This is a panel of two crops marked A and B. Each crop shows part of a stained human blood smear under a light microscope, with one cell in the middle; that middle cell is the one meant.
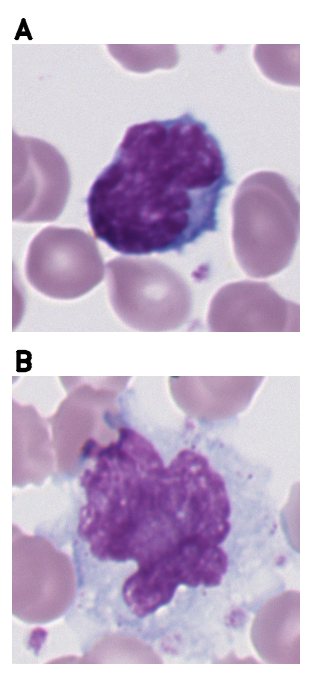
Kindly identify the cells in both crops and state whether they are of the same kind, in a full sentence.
Yes, both crops show monocytes in their central position.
